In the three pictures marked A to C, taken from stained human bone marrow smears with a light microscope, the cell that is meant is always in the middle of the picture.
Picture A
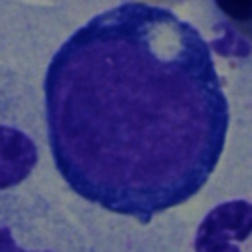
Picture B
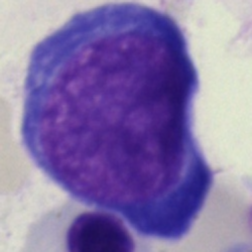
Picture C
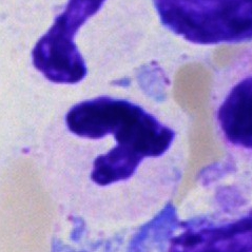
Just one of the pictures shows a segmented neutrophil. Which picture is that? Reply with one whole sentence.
It is picture C that shows the segmented neutrophil.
